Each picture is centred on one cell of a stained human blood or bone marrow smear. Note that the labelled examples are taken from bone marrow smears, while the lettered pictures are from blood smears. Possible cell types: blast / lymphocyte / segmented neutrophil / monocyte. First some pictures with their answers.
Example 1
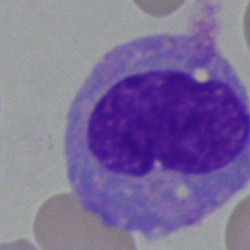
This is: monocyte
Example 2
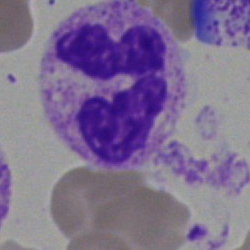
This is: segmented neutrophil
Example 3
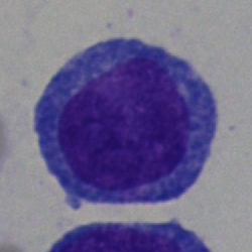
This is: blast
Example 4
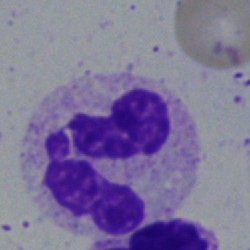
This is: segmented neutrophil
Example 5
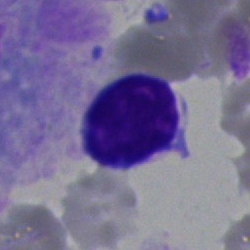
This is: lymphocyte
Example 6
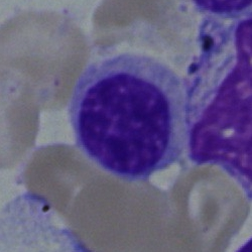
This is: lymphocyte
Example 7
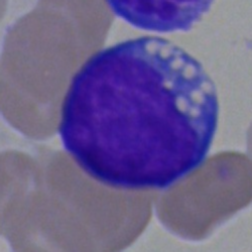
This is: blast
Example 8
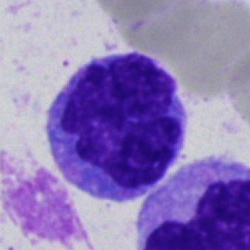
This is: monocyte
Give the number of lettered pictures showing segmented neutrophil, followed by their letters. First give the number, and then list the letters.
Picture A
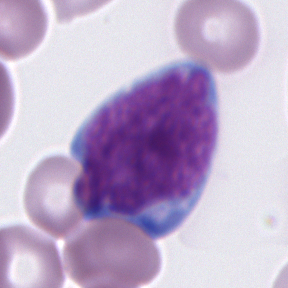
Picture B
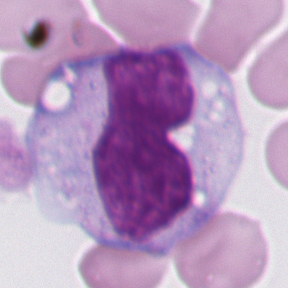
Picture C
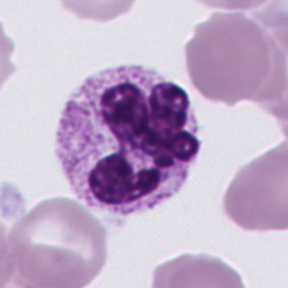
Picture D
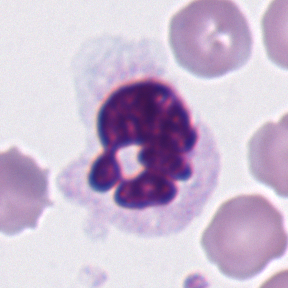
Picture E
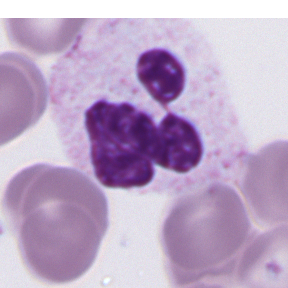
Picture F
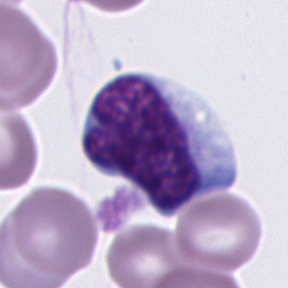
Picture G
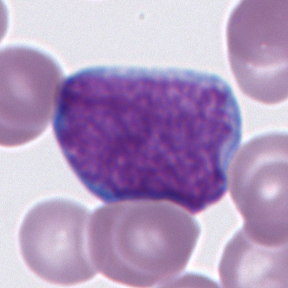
Count: 3 (C, D, E)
